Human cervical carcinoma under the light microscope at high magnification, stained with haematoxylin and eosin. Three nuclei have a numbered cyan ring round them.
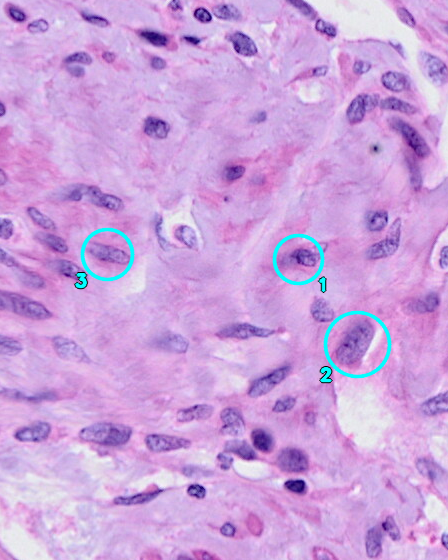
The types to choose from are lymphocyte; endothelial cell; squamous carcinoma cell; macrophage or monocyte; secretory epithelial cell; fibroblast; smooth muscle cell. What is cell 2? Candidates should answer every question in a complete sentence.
What the number 2 marks in this field is an endothelial cell.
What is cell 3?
The cell that carries the label 3 is a smooth muscle cell.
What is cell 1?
The cell indicated with the number 1 is classed as a smooth muscle cell.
